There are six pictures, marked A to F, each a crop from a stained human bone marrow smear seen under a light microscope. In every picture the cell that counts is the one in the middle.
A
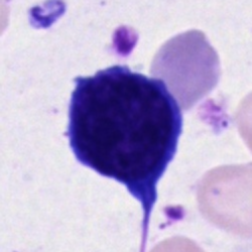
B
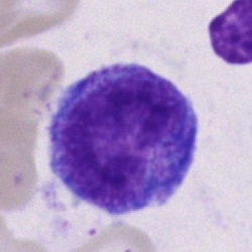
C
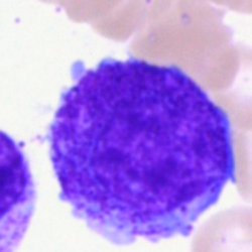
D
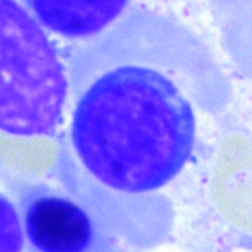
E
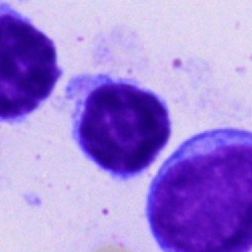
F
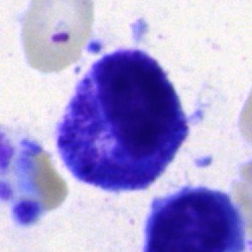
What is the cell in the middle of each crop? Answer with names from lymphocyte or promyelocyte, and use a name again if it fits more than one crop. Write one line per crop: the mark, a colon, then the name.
A: lymphocyte
B: promyelocyte
C: promyelocyte
D: lymphocyte
E: lymphocyte
F: promyelocyte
